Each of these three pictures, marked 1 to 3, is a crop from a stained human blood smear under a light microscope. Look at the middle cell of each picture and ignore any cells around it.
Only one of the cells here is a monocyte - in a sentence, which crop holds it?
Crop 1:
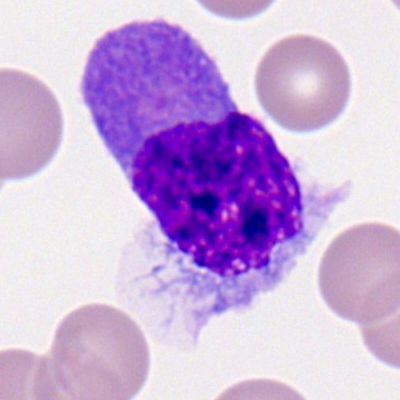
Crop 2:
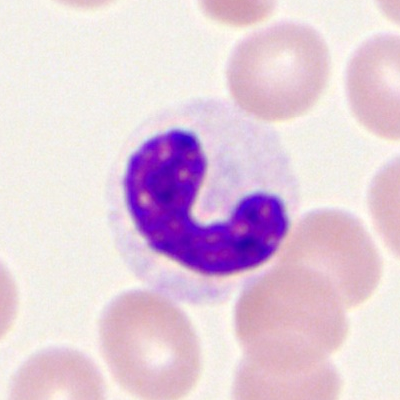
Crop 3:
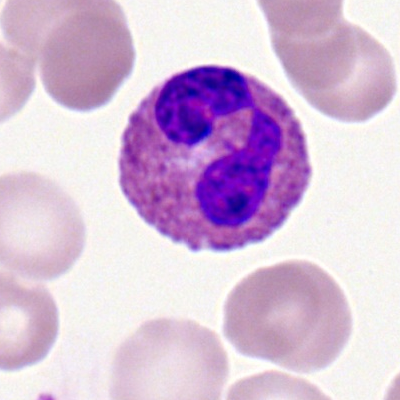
The crop with a monocyte at its center is crop 1.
